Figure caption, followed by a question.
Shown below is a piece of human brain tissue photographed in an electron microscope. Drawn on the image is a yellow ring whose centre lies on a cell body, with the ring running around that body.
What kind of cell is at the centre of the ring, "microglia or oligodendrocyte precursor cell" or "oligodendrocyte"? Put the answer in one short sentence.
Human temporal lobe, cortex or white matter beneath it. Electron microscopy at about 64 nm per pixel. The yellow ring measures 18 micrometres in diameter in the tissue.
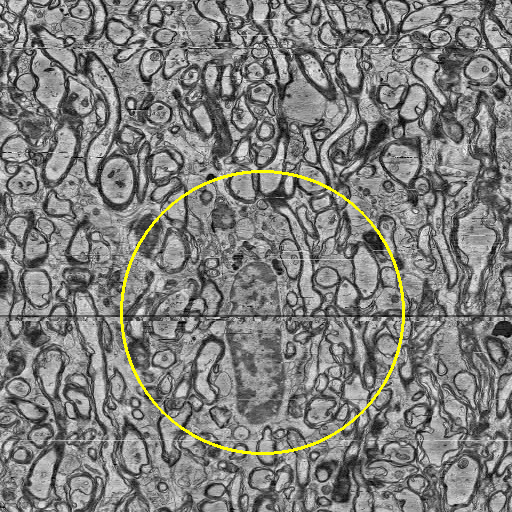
The ring marks the cell body of a microglial cell or oligodendrocyte precursor cell.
